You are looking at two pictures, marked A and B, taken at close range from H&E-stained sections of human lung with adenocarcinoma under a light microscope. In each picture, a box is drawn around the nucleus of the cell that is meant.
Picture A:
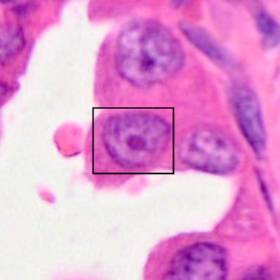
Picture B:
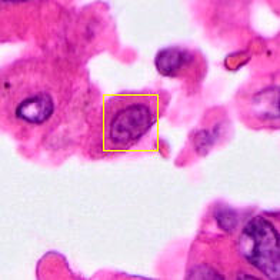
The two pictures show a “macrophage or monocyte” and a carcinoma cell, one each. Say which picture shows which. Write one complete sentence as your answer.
Picture A shows a carcinoma cell and picture B shows a “macrophage or monocyte”.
